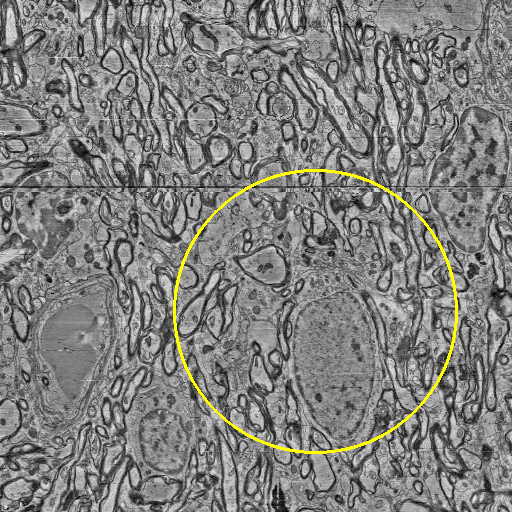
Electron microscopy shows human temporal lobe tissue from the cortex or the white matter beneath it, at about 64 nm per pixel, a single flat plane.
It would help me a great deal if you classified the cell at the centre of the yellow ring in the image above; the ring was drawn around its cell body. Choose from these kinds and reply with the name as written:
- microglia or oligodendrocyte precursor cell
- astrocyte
astrocyte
